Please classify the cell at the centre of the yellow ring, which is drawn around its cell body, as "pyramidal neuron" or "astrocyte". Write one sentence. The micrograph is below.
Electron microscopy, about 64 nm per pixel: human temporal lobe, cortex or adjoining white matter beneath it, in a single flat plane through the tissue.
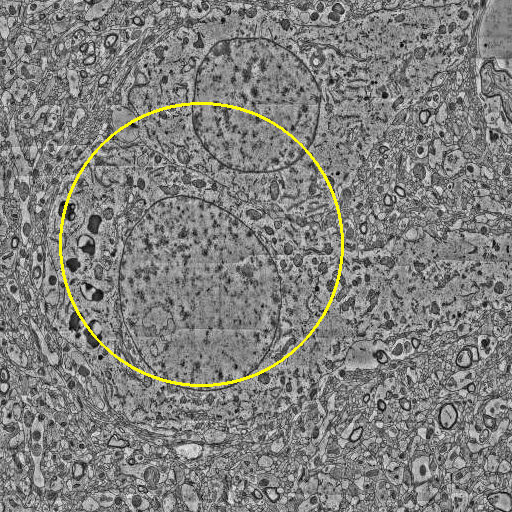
The cell at the ring's centre is classified as a pyramidal neuron.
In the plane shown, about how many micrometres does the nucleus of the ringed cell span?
The nucleus appears roughly 13 by 10 micrometres in this plane.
